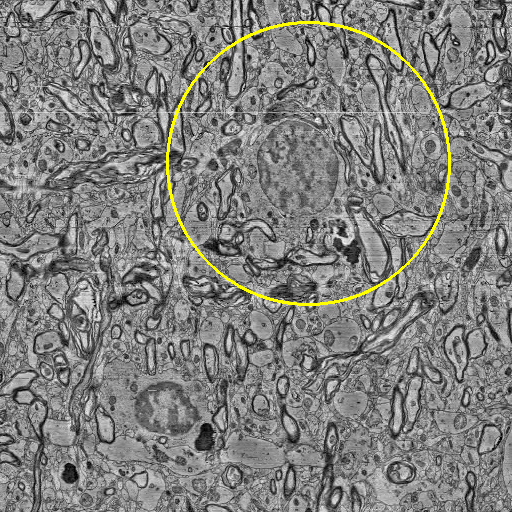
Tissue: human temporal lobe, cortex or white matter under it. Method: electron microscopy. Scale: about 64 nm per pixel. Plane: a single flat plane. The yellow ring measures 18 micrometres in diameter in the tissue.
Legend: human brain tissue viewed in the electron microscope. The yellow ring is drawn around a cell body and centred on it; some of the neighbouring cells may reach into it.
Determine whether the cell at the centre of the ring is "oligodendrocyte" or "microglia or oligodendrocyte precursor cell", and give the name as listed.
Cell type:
oligodendrocyte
